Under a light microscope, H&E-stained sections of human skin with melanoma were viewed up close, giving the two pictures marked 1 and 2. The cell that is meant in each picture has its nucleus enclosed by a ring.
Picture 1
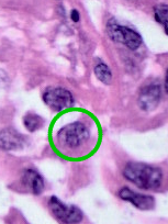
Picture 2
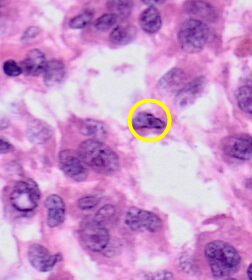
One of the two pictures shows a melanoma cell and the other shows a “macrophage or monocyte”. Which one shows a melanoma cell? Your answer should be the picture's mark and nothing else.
1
